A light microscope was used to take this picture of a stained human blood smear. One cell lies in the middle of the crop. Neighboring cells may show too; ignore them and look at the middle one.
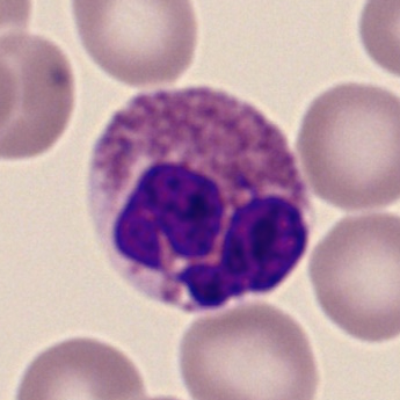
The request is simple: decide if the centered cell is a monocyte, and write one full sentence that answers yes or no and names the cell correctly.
No, the central cell does not represent a monocyte, but an eosinophil.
